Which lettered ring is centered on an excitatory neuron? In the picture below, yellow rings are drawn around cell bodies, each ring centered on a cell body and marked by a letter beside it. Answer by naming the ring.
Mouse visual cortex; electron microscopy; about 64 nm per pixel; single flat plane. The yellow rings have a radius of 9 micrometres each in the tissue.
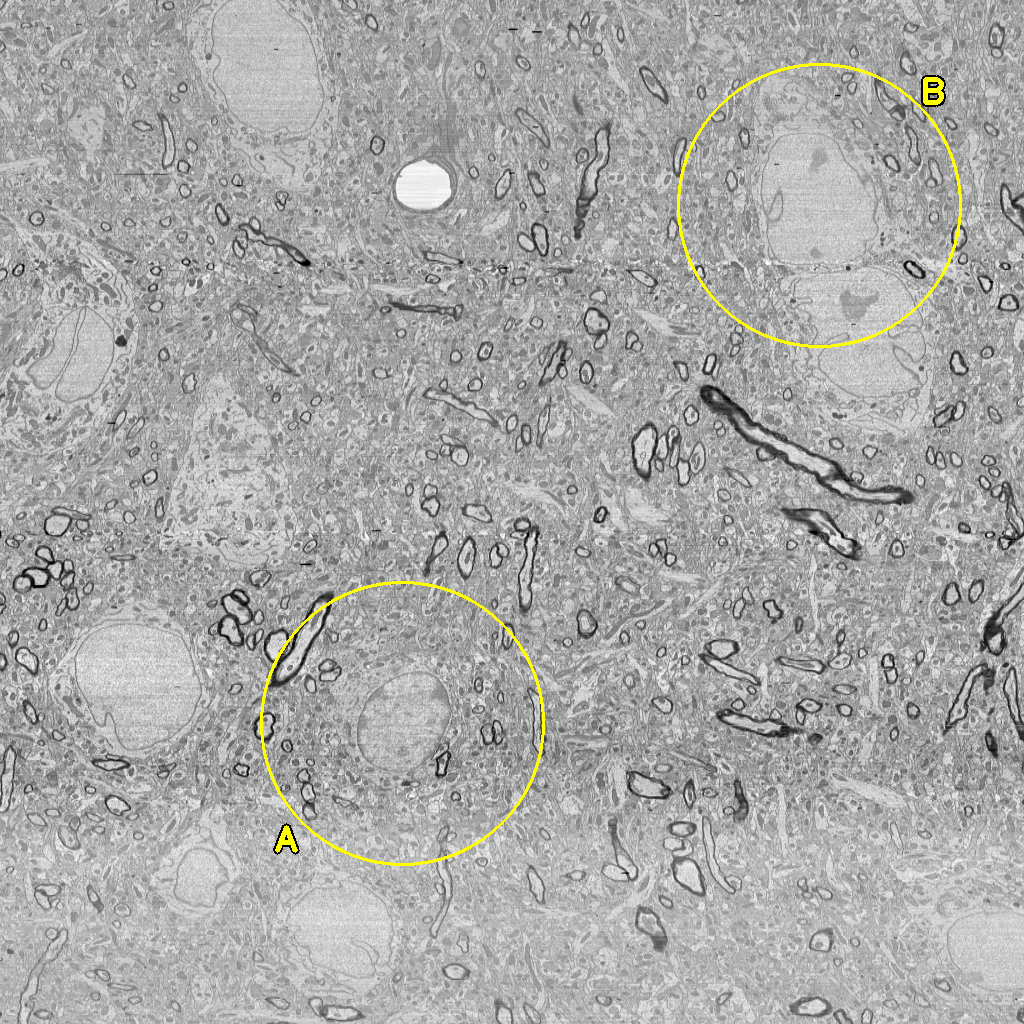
Ring B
